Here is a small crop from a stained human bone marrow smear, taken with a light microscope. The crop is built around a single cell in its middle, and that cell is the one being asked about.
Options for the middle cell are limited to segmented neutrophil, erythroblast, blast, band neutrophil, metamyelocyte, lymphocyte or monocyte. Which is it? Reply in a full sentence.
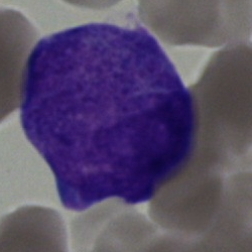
The cell at the middle of the frame should be recorded as a blast.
